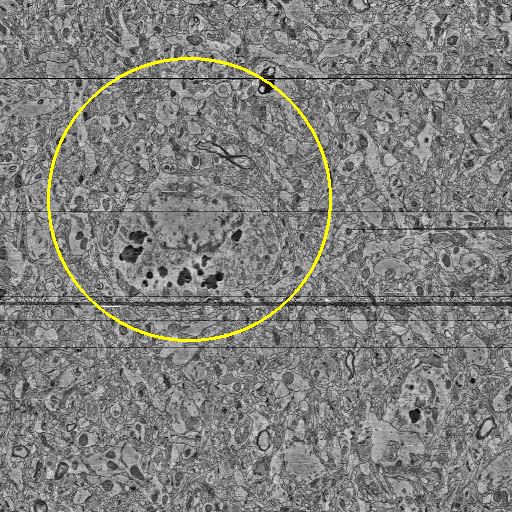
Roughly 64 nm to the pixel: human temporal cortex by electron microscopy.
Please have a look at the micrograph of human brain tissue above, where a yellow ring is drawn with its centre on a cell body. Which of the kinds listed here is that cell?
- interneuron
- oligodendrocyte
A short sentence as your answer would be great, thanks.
At the centre of the ring sits an interneuron.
